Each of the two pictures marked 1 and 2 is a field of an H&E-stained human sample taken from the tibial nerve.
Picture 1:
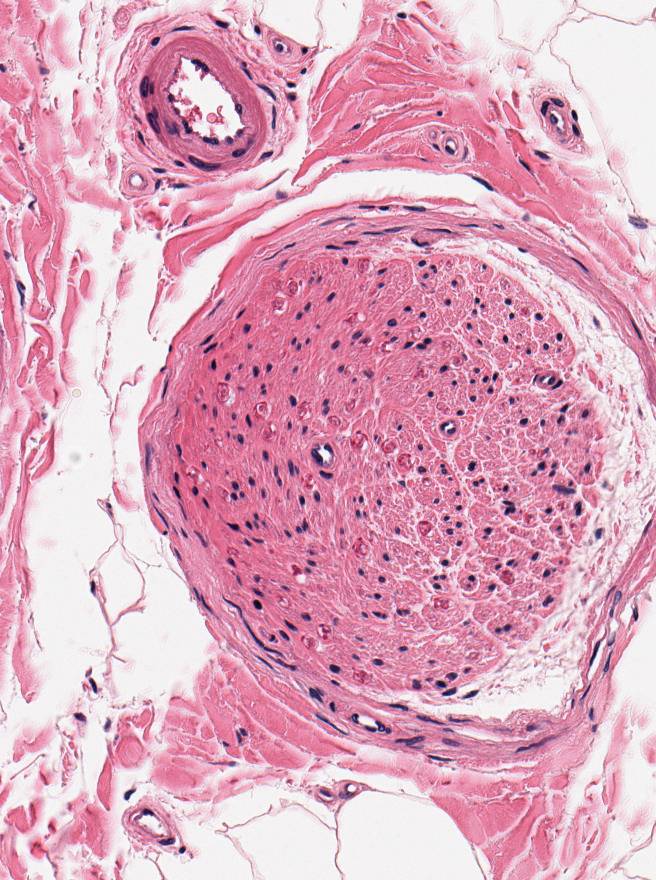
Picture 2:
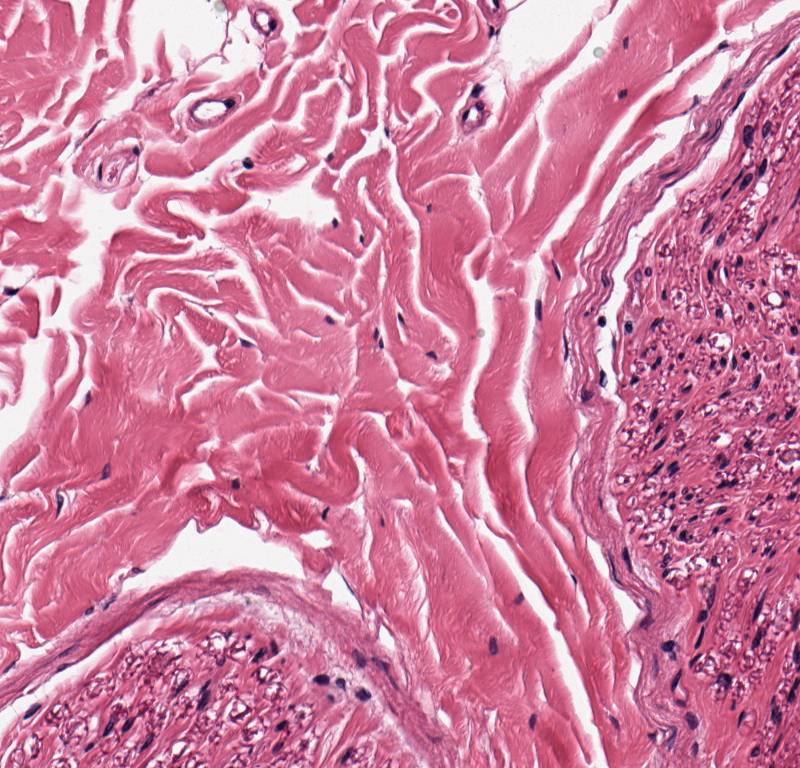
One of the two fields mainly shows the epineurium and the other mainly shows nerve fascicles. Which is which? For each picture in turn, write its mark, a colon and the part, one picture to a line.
1: nerve fascicles
2: epineurium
